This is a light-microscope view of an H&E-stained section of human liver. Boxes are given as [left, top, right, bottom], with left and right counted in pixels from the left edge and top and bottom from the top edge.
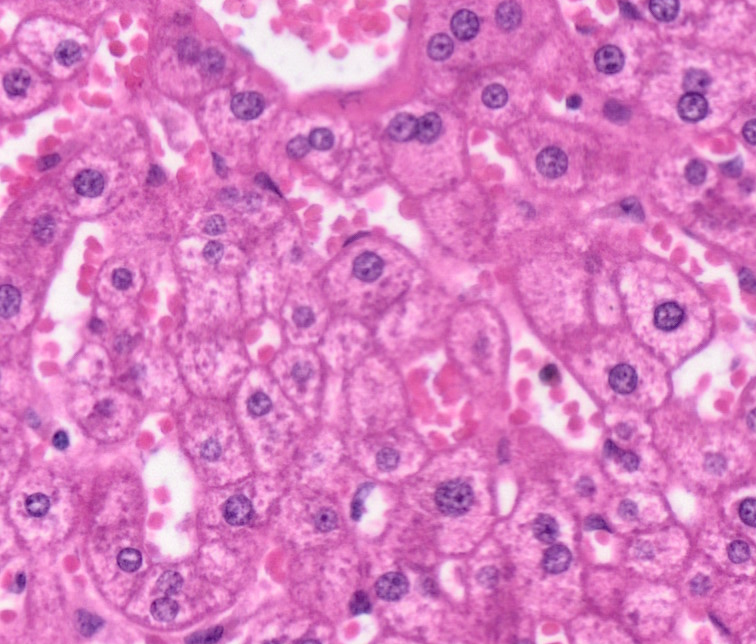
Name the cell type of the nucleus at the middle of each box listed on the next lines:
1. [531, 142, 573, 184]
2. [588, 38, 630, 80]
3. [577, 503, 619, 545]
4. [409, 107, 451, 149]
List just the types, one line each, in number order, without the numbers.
hepatocyte
hepatocyte
endothelial cell
hepatocyte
